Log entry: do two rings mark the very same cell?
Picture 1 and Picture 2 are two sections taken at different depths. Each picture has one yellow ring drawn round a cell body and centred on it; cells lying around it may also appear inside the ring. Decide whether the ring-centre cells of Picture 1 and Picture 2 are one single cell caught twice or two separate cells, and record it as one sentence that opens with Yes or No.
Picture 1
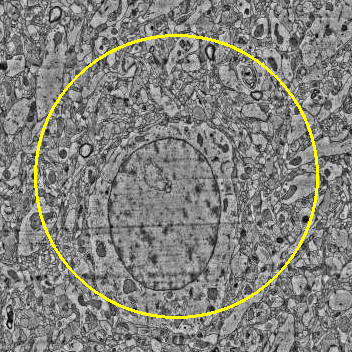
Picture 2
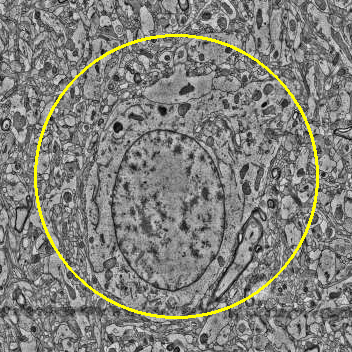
No, the cells within these rings are two separate cells.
